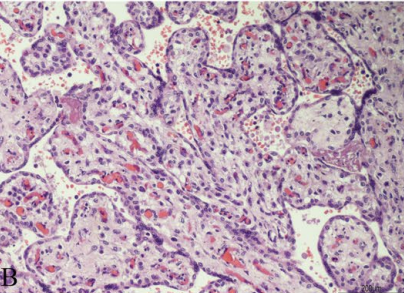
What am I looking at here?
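Here again are placental villi, crowded together with only narrow channels of intervillous space holding loose red blood cells. The villi are large and irregular, some elongated, with a pale pink stroma containing many spindle and oval nuclei. A thin purple layer of trophoblast covers each one. Capillaries filled with red cells are scattered within the stroma, but few of them bulge against the thin surface covering to form the close vessel-to-surface contacts one expects near term. The overall impression is of swollen, immature-looking villi with a cellular core.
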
